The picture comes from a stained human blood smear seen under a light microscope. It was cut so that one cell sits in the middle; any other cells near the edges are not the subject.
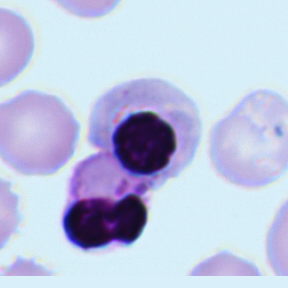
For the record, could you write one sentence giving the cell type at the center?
In short, the cell at the center is an erythroblast.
